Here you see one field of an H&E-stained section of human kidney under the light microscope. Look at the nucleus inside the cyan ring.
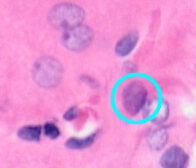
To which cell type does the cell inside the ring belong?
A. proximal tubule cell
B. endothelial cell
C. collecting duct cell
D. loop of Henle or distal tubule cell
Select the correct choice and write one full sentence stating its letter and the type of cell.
Option A is right in classifying the cell inside the ring as a proximal tubule cell.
